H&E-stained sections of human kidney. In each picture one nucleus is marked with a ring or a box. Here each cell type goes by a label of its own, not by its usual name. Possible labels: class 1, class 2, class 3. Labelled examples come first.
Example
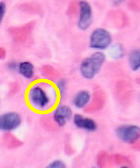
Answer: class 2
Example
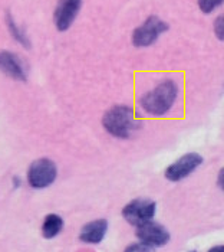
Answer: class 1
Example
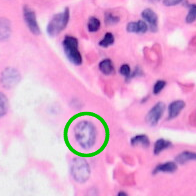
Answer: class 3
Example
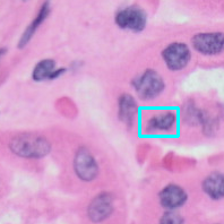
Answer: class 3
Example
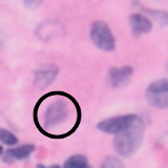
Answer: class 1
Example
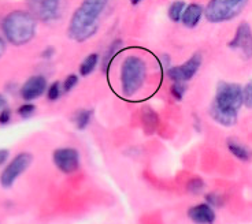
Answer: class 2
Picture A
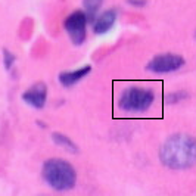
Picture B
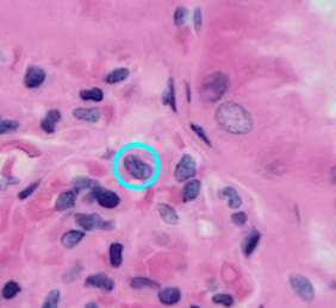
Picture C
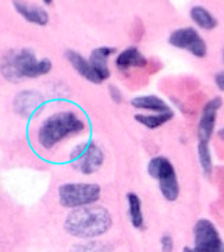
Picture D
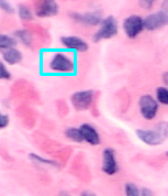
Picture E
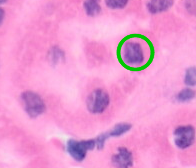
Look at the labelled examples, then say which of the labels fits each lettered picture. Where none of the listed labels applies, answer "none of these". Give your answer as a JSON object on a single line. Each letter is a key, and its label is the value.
{"A": "none of these", "B": "class 2", "C": "class 3", "D": "class 2", "E": "class 1"}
